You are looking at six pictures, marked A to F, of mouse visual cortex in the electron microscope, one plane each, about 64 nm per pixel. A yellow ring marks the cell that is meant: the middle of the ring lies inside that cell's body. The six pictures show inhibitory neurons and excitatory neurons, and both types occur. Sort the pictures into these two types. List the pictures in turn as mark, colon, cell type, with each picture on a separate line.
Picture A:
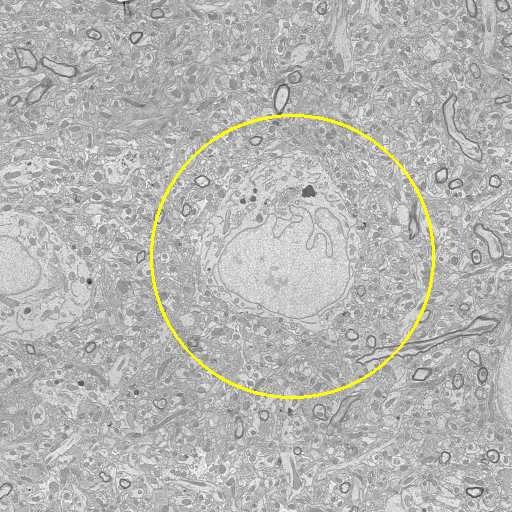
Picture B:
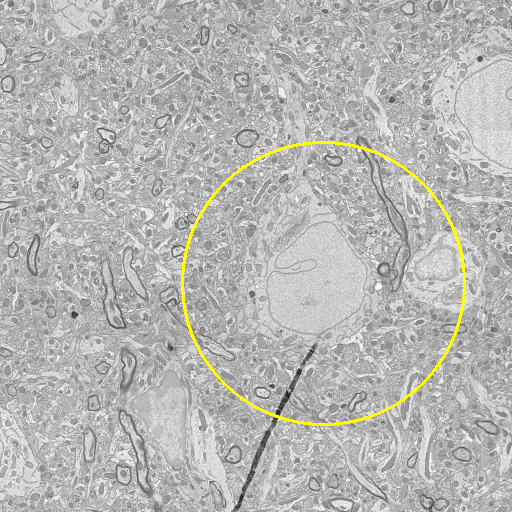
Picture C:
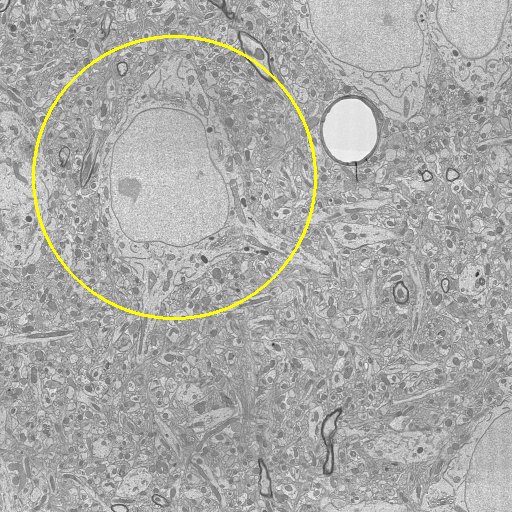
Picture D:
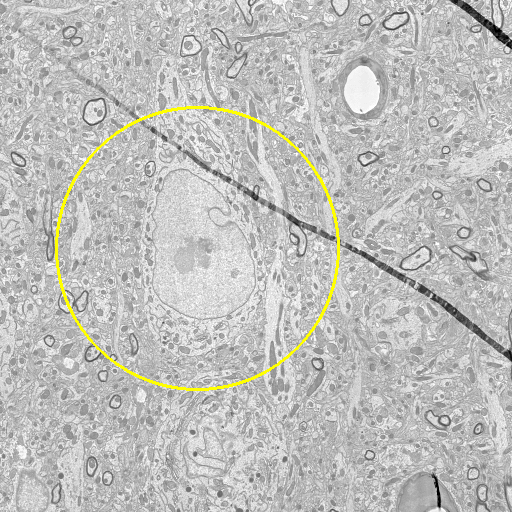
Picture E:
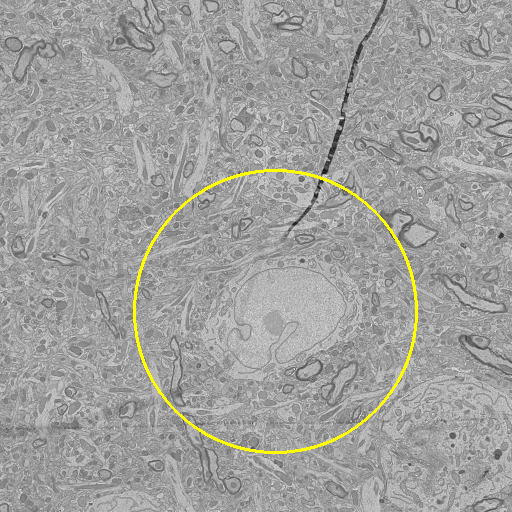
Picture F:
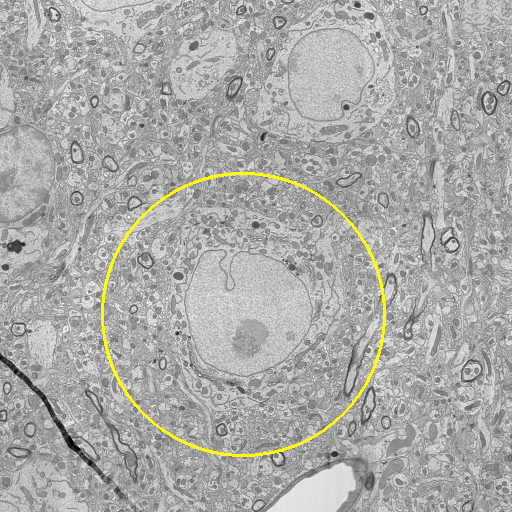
A: inhibitory neuron
B: excitatory neuron
C: excitatory neuron
D: inhibitory neuron
E: excitatory neuron
F: inhibitory neuron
